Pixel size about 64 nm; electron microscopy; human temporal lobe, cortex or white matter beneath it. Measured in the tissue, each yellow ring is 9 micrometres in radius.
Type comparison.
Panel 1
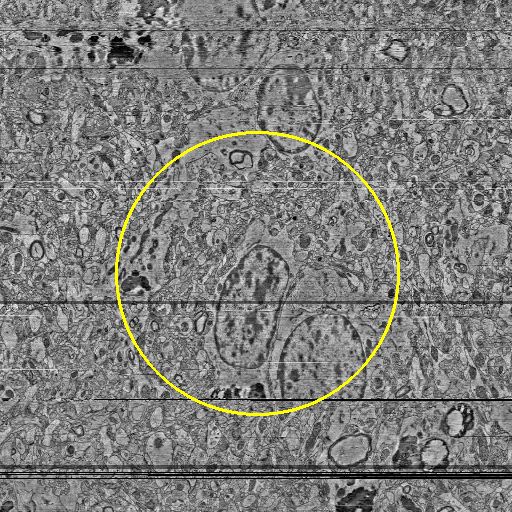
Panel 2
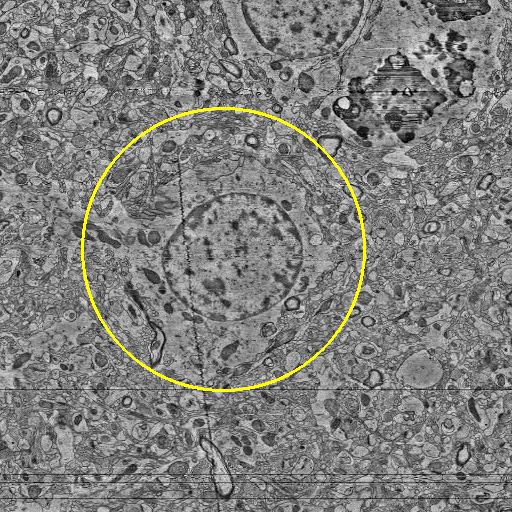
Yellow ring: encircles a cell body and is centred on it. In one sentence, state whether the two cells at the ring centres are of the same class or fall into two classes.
In these panels, the two cells at the ring centres are of the same class.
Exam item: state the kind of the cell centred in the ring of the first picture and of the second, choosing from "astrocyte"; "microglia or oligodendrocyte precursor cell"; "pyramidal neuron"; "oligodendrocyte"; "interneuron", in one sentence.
Both pictures show an astrocyte at the centre of the ring.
